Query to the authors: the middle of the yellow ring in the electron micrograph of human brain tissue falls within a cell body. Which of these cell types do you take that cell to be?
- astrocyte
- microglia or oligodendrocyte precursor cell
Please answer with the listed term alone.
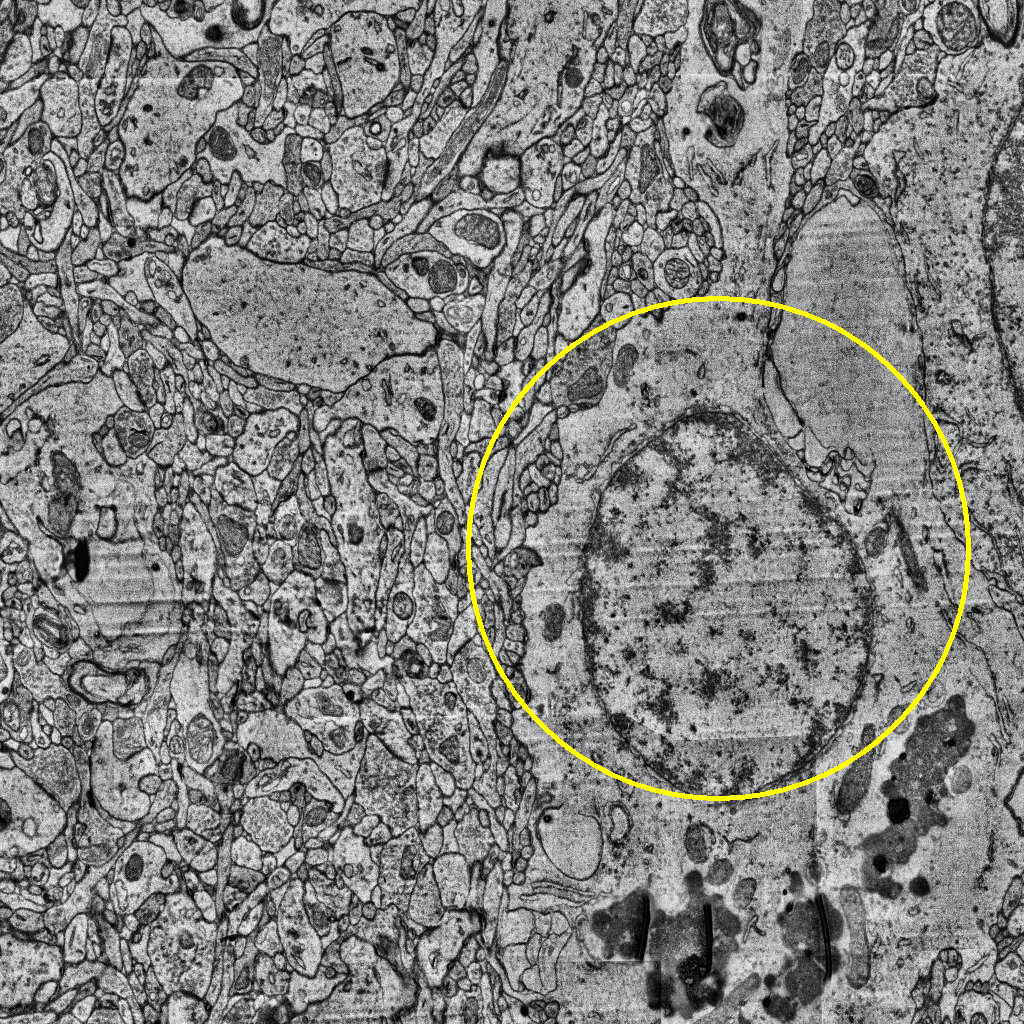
astrocyte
